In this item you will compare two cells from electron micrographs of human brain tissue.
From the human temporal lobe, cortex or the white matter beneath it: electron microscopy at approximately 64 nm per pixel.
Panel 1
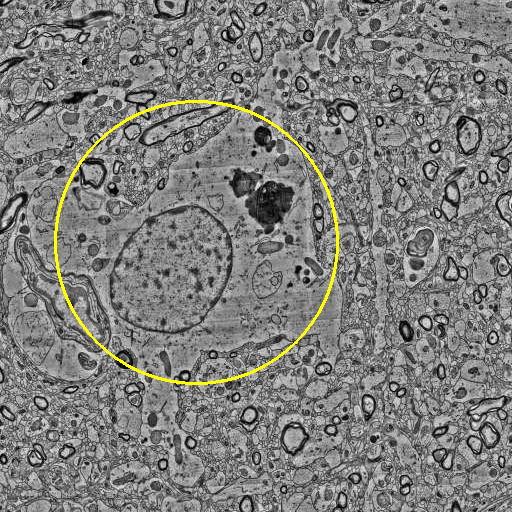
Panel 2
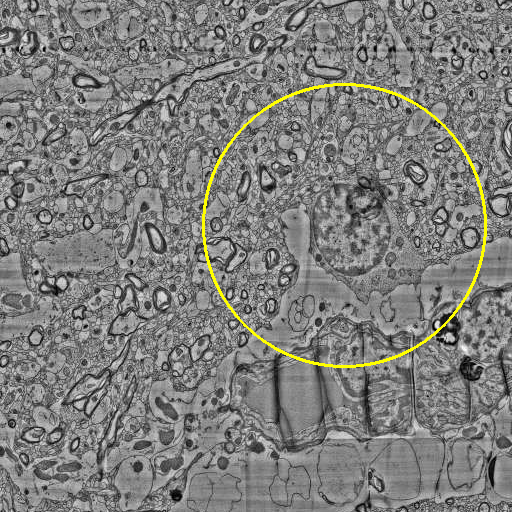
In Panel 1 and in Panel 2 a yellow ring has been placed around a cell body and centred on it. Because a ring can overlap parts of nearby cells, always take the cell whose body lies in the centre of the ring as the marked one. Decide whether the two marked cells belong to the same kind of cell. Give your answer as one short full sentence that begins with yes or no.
No, the two marked cells belong to two kinds of cell.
